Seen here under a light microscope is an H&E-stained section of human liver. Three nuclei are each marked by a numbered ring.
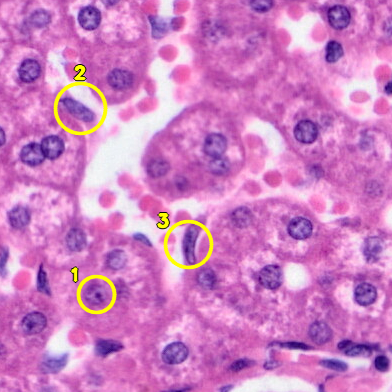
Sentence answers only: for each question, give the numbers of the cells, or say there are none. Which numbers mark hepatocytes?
Among all the marked cells, a hepatocyte is found only at number 1.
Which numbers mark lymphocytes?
Among the marked and numbered cells, lymphocytes do not occur.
